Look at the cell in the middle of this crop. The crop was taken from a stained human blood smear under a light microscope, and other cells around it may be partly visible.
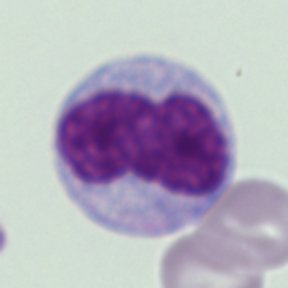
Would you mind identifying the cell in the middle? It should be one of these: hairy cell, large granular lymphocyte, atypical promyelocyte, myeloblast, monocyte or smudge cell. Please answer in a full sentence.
The cell the crop is centered on is a monocyte.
